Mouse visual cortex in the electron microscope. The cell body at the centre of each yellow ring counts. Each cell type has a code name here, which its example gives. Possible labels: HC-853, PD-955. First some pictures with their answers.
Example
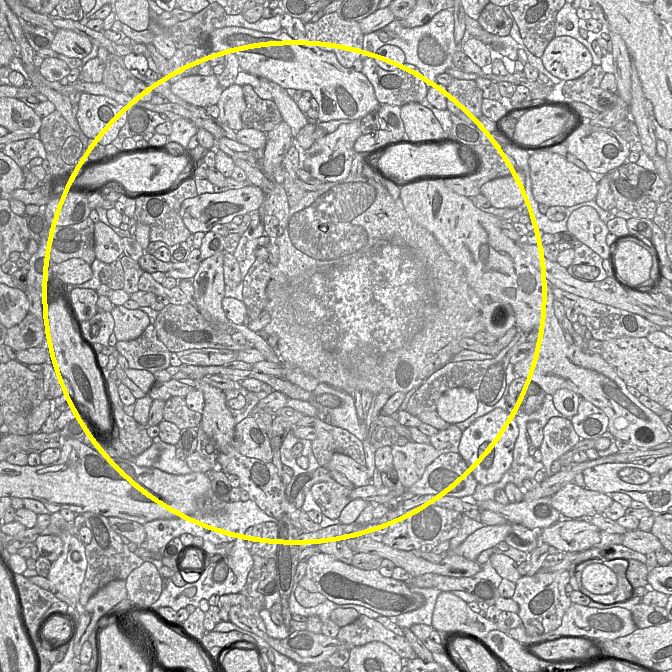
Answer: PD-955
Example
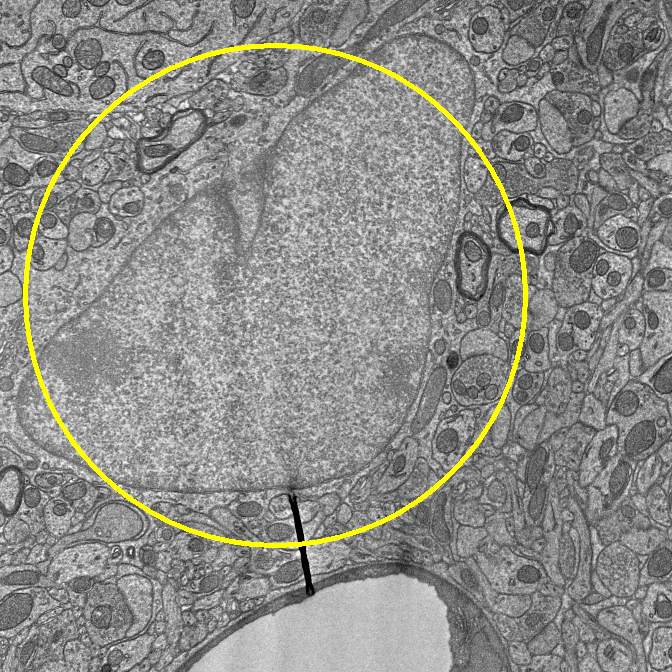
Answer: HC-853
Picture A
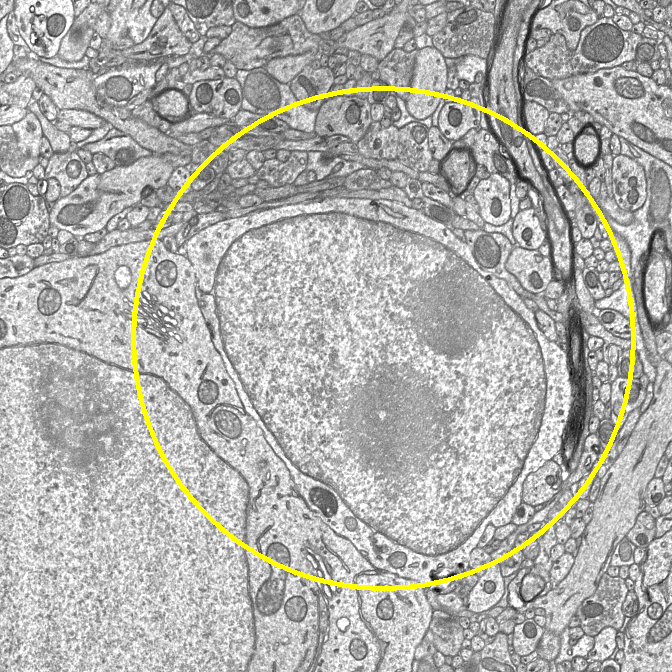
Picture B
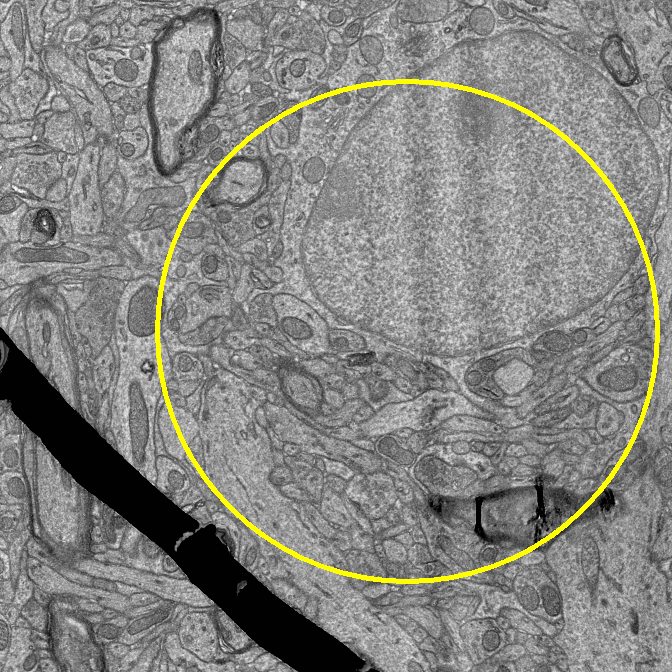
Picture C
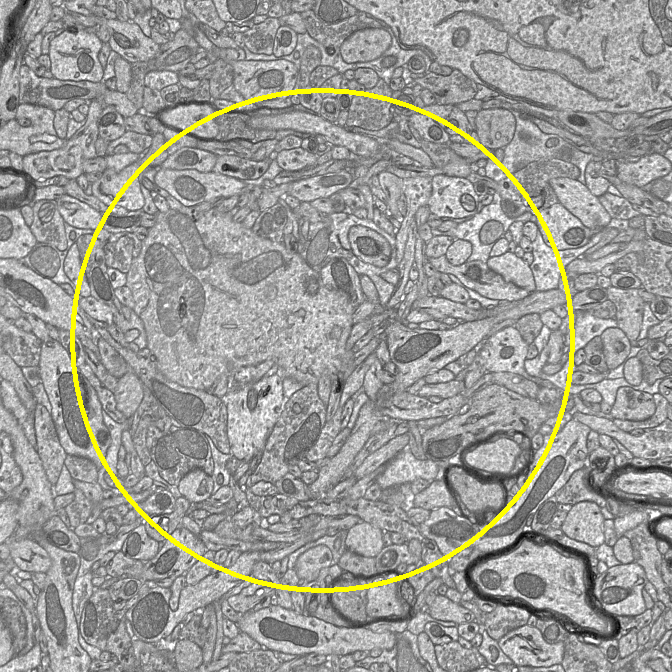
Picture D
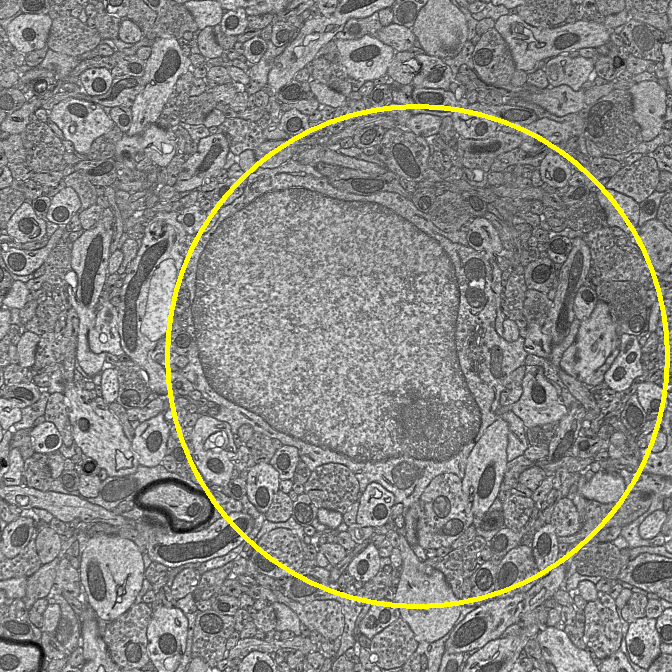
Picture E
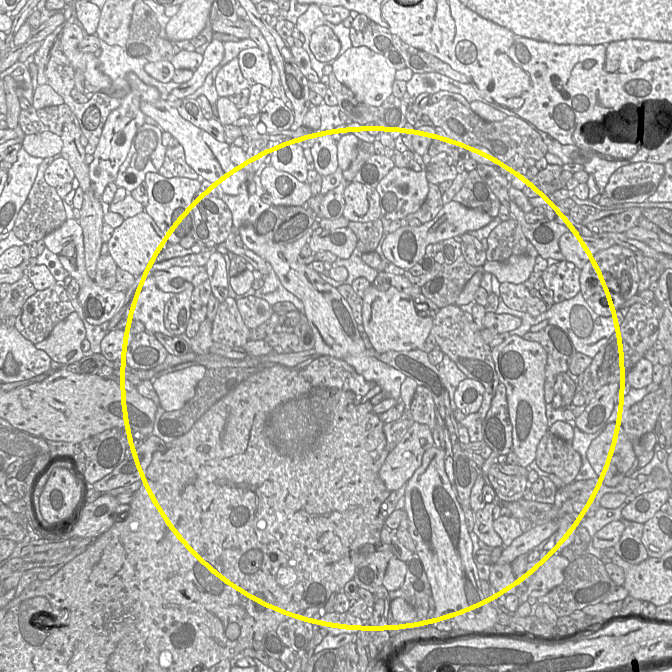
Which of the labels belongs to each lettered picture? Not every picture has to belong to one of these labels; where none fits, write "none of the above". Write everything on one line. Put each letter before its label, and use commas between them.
A PD-955, B HC-853, C PD-955, D HC-853, E PD-955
